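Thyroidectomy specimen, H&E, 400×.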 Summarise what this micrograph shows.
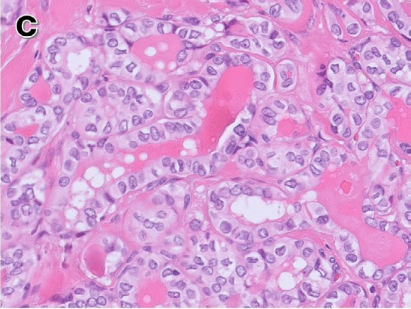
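The nuclei are oval, pale and clear-looking, and crowd and overlap one another along the cell rows. The cytoplasm is pale pink and moderate in amount. Small lumina between the cells contain pale material with bubbly clear vacuoles. Dense pink bands of collagen separate the groups of tumour cells.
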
